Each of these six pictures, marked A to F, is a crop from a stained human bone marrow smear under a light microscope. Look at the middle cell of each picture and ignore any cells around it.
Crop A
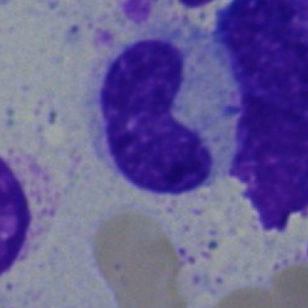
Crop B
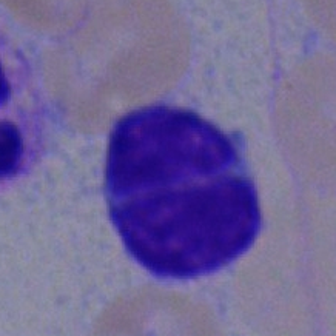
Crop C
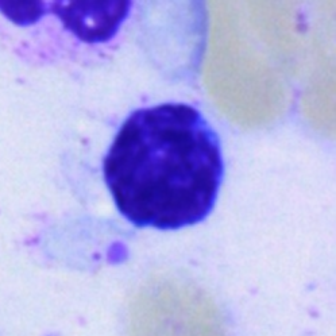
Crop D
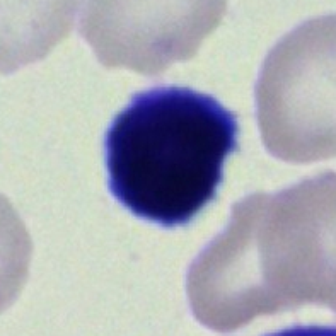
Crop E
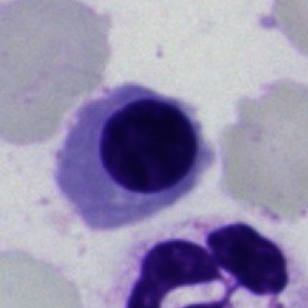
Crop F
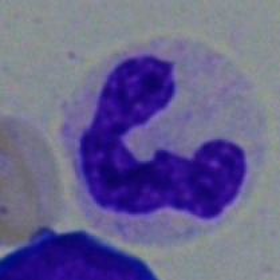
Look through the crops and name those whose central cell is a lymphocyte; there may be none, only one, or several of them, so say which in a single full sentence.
In the series, crops B, C and D show lymphocytes.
